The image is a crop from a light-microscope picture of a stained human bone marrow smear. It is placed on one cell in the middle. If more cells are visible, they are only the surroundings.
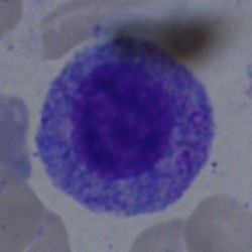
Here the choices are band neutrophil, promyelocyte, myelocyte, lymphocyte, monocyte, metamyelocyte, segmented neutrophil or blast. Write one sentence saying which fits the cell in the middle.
The cell at the middle of the frame should be recorded as a myelocyte.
